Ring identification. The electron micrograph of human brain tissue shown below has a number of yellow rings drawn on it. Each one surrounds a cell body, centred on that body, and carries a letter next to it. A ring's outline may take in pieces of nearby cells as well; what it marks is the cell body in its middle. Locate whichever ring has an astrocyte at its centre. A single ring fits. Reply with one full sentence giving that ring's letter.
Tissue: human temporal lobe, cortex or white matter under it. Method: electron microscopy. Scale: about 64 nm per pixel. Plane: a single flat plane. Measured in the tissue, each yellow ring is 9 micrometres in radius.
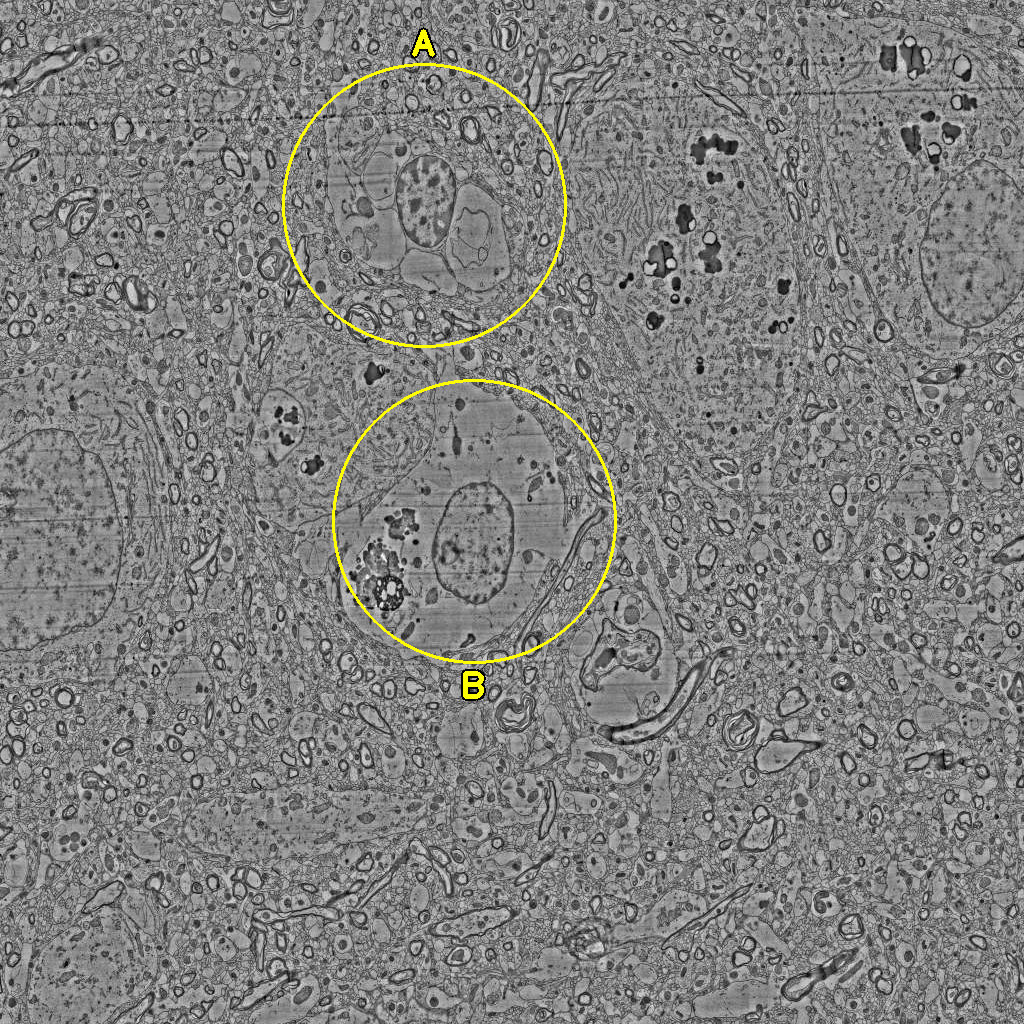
The letter B belongs to the ring centred on a cell of that kind.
